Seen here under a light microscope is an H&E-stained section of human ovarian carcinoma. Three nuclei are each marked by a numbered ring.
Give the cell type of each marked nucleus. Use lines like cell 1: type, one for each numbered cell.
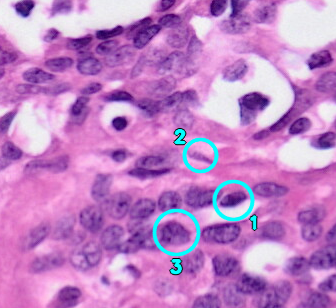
cell 1: carcinoma cell
cell 2: endothelial cell
cell 3: carcinoma cell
